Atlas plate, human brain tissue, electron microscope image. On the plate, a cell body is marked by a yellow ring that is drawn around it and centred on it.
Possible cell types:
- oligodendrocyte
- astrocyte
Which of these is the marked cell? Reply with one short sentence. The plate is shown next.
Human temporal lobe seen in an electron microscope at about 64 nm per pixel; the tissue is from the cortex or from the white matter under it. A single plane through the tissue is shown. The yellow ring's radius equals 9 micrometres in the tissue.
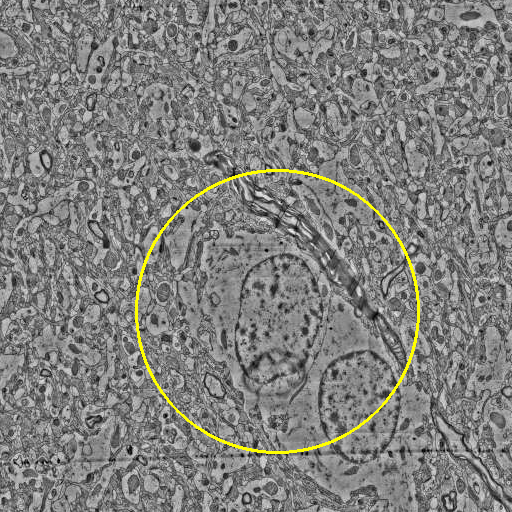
The marked cell is an astrocyte.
